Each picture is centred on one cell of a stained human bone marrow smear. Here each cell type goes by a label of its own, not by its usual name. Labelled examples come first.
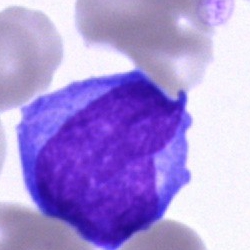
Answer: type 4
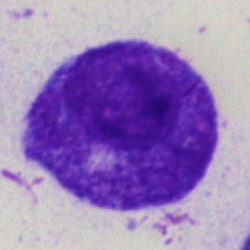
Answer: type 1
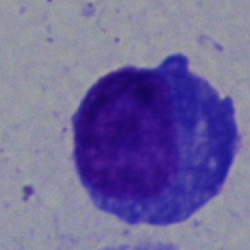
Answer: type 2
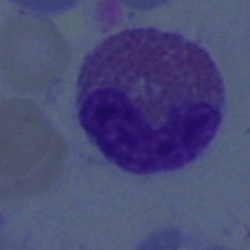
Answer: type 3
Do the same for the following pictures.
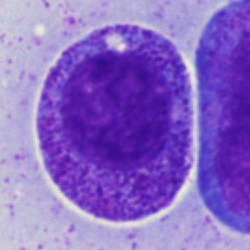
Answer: type 1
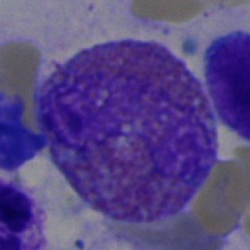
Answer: type 3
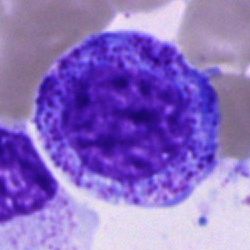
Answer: type 1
